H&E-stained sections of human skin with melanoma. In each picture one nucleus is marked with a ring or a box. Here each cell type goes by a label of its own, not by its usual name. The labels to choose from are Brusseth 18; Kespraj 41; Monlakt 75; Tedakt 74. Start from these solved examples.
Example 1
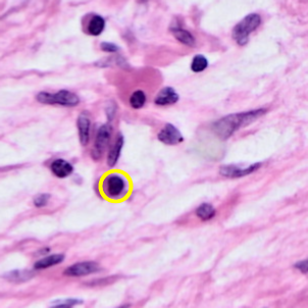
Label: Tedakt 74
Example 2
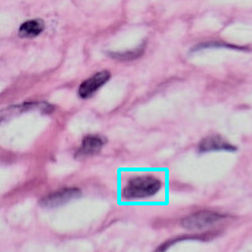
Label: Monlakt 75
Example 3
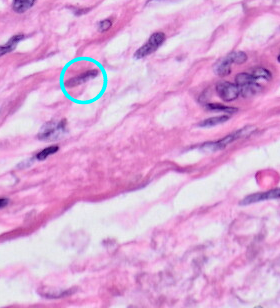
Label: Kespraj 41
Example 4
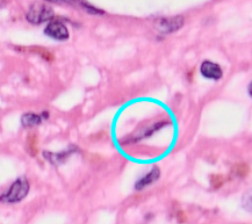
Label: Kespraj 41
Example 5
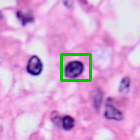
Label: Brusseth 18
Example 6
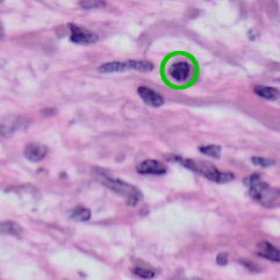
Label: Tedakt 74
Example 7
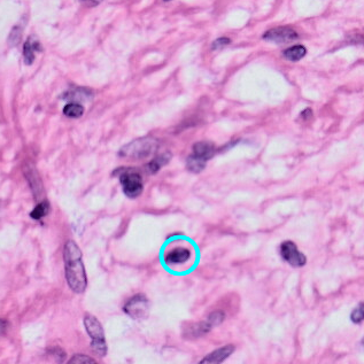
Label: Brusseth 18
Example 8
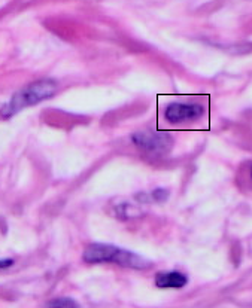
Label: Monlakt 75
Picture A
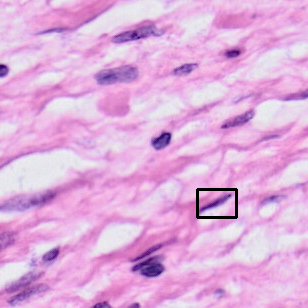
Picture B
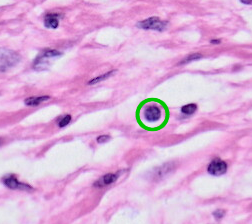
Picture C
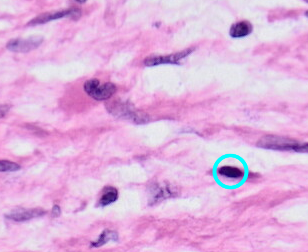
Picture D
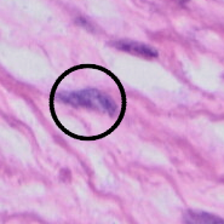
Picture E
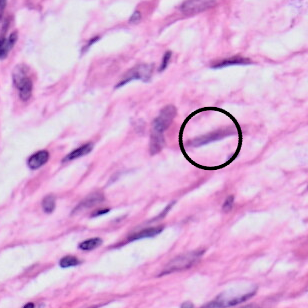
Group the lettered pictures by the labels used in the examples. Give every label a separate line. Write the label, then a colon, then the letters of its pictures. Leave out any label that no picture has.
Brusseth 18: B
Kespraj 41: A, D, E
Tedakt 74: C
